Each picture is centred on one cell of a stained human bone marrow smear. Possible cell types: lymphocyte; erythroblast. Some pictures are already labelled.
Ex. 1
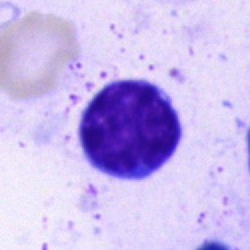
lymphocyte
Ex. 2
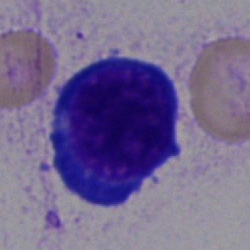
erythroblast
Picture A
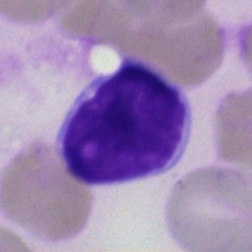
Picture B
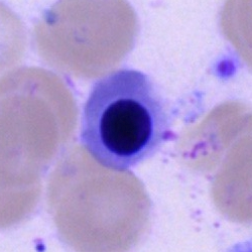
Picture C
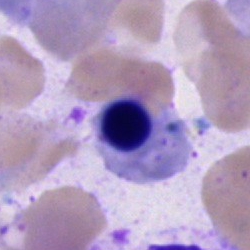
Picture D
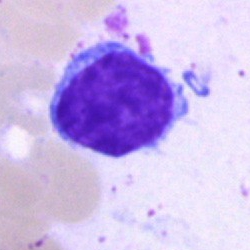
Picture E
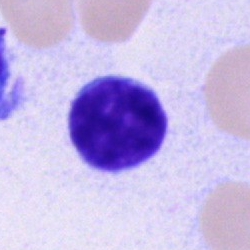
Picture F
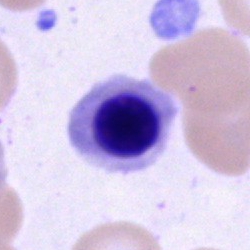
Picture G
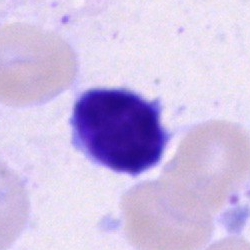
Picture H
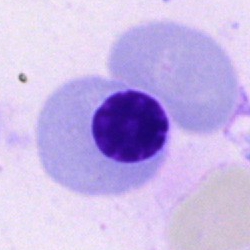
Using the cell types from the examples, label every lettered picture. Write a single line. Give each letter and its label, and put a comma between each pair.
A lymphocyte, B erythroblast, C erythroblast, D lymphocyte, E lymphocyte, F erythroblast, G lymphocyte, H erythroblast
